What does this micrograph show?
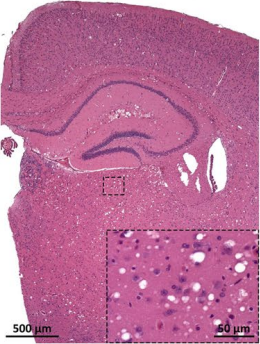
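The cortex looks fairly uniform, with small dark nuclei in pink neuropil. The deeper region appears paler and more porous. In the enlarged inset the pink neuropil is riddled with round, clear vacuoles of various sizes, some quite large, among scattered darkly stained nuclei, giving a sponge-like appearance typical of spongiform degeneration.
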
